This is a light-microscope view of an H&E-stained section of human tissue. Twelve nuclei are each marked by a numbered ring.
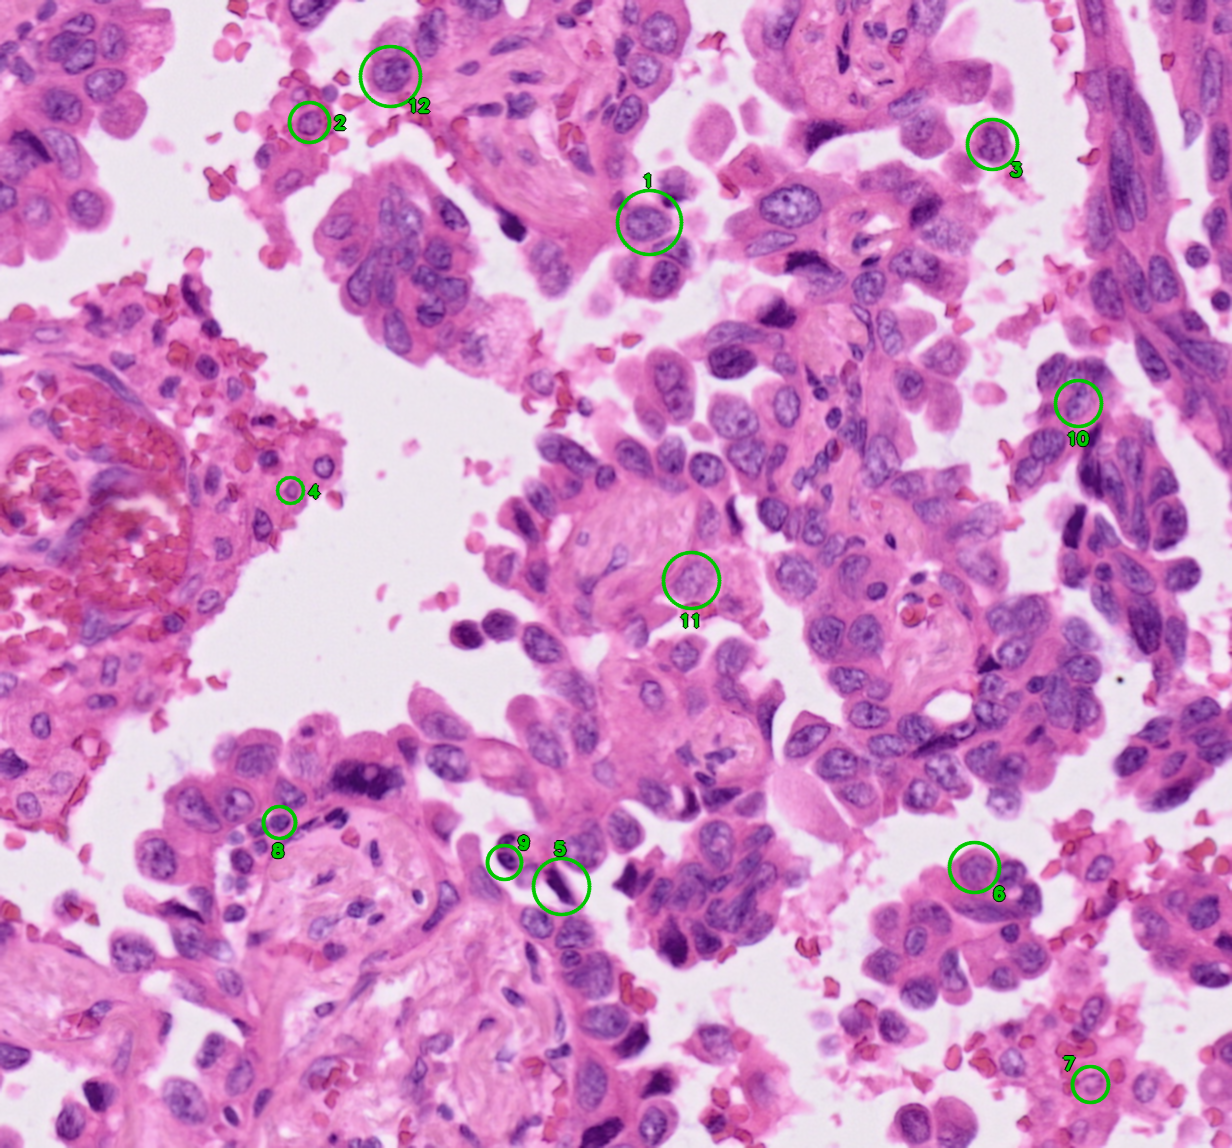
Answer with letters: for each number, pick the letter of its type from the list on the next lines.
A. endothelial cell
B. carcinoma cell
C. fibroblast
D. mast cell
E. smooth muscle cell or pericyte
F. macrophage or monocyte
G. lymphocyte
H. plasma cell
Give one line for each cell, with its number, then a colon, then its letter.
1: B
2: F
3: B
4: F
5: B
6: B
7: F
8: G
9: G
10: B
11: B
12: B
